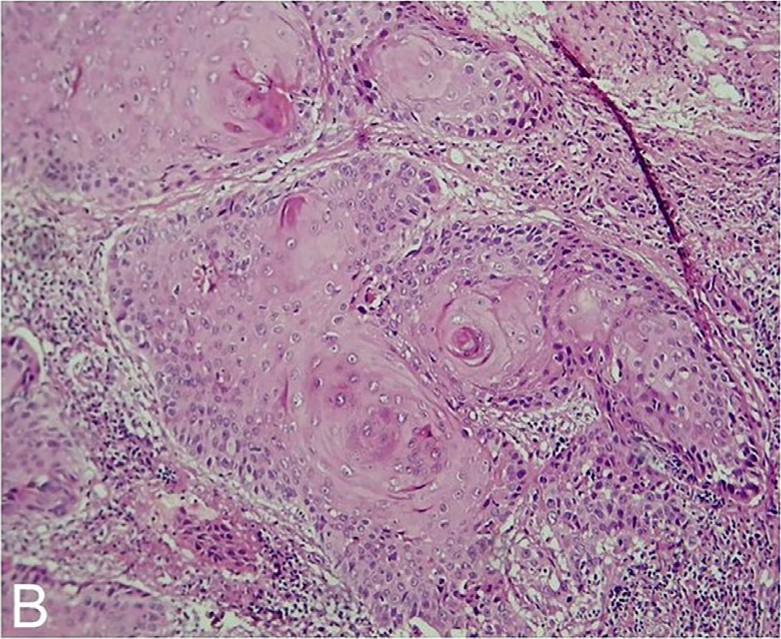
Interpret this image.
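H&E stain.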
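This is an invasive keratinizing squamous cell carcinoma, made of irregular nests of large polygonal squamous cells set in a fibrous stroma. The tumour cells have abundant pink cytoplasm and round to oval nuclei, and they grow in rounded islands separated by thin bands of connective tissue. Many nests hold central keratin pearls, concentric pink whorls of keratin surrounded by flattened cells. The stroma between the nests contains many small dark-staining inflammatory cells.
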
